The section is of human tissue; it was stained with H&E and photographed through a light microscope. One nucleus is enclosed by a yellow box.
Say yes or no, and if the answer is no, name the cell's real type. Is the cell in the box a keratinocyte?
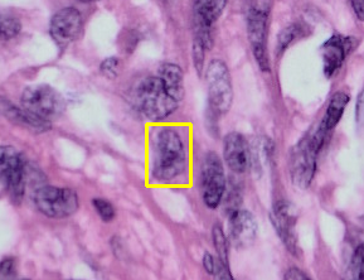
No, it is a melanoma cell.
